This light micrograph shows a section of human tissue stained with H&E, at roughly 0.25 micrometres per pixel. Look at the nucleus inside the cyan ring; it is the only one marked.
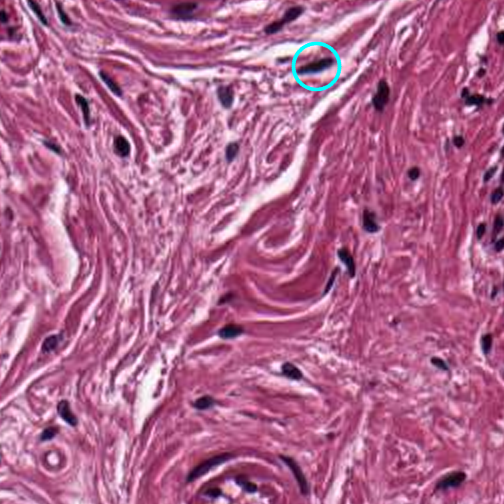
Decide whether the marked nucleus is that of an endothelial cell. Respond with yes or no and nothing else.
no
